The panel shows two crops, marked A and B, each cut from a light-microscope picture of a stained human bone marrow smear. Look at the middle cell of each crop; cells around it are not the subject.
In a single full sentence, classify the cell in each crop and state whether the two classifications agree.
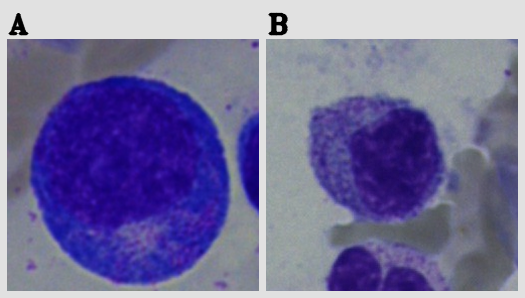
No, a myelocyte is depicted in crop B, whereas a promyelocyte is depicted in crop A.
